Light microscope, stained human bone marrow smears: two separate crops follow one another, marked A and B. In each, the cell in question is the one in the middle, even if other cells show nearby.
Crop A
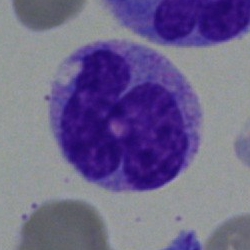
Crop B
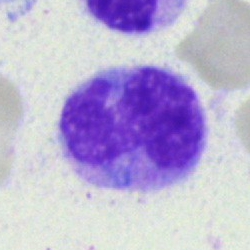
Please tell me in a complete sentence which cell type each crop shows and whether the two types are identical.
Yes, both crops show monocytes, and the two match.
